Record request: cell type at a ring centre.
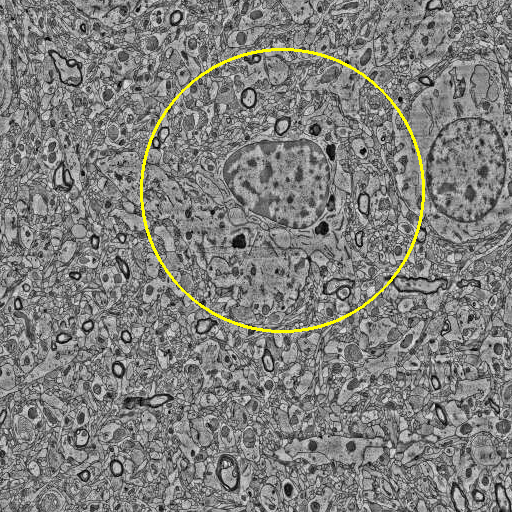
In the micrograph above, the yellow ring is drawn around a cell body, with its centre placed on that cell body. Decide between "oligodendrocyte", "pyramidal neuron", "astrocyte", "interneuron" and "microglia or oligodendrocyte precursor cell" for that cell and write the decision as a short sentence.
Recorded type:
The cell centred in the yellow ring is a microglial cell or oligodendrocyte precursor cell.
